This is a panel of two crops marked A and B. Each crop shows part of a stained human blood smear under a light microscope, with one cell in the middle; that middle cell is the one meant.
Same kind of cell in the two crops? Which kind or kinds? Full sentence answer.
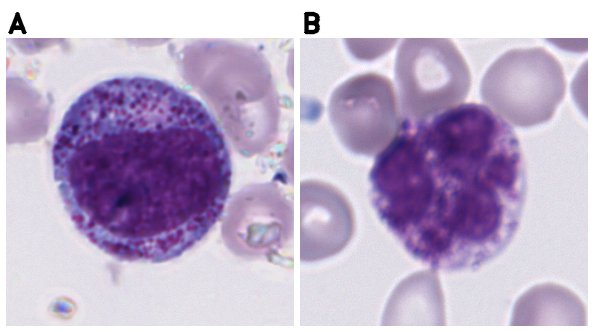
No, crop A is to be identified as a promyelocyte and crop B as a basophil.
